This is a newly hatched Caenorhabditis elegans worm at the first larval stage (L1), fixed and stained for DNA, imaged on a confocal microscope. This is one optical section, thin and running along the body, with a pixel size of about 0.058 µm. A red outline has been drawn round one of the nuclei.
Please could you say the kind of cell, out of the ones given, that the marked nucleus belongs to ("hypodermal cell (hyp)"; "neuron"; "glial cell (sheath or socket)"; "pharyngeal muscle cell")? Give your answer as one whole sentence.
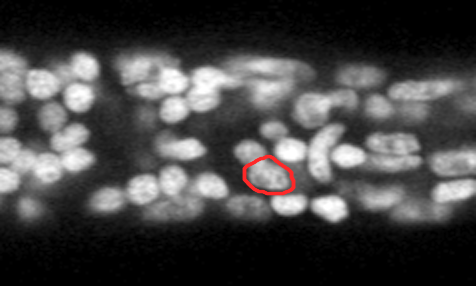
The marked cell is a pharyngeal muscle cell.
